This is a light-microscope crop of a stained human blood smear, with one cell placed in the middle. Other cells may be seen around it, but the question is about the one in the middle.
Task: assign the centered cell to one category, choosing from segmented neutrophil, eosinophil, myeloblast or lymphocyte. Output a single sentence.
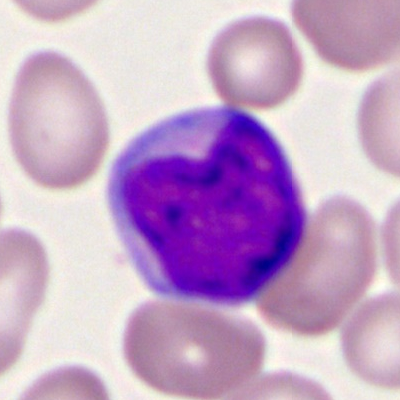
To answer, the cell in the center of the crop is a myeloblast.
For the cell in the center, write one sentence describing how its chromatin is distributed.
Its nuclear chromatin is gathered into coarse clumps.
